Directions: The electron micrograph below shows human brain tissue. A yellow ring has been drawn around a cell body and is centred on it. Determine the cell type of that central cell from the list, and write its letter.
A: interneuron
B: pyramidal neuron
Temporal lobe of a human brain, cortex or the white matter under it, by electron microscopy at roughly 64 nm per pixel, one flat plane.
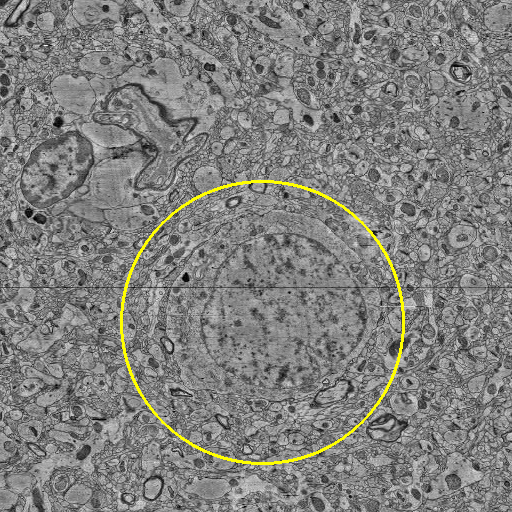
A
